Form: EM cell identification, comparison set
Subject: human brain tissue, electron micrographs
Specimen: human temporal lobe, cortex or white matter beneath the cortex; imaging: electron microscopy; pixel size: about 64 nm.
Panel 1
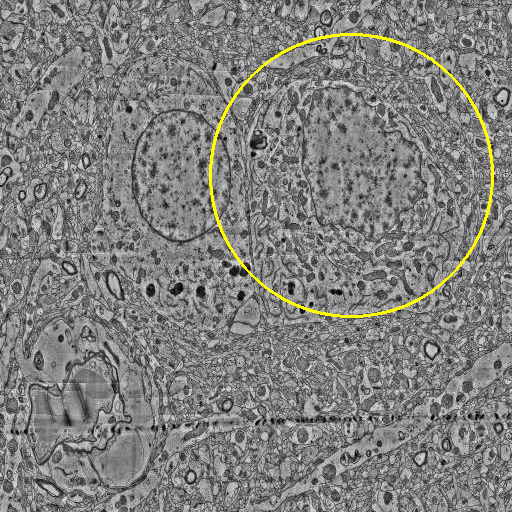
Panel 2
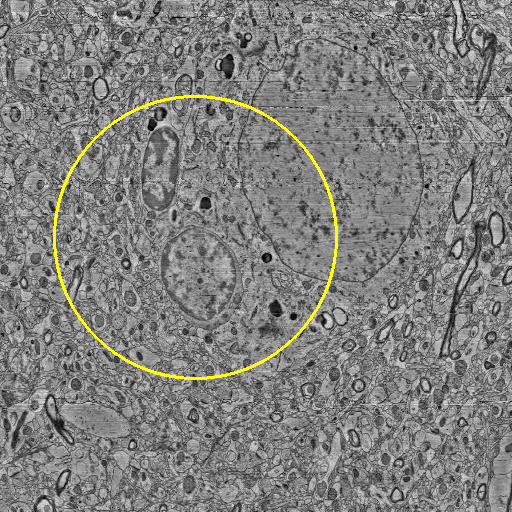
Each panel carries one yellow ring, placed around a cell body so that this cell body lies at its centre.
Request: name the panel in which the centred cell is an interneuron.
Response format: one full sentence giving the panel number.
Panel 1 has it at the centre of its ring.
